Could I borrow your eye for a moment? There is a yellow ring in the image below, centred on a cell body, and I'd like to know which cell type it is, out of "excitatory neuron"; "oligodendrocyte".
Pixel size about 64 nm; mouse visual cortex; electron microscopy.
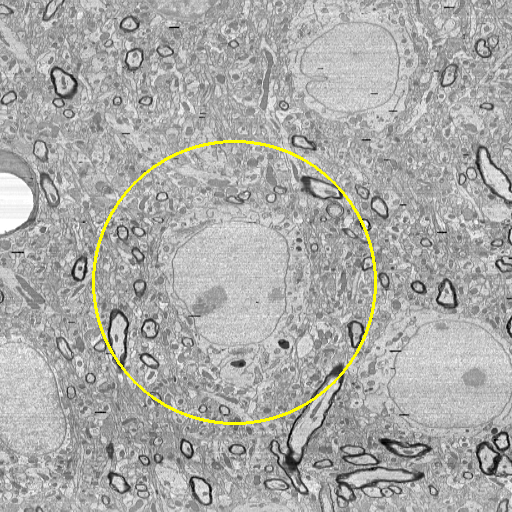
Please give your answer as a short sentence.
The cell body at the centre is that of an excitatory neuron.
